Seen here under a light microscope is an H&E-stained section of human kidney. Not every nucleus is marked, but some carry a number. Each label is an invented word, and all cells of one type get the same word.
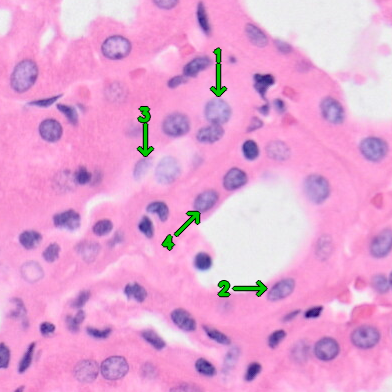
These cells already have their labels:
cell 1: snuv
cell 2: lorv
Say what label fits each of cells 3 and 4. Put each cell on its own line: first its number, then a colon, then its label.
3: snuv
4: lorv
